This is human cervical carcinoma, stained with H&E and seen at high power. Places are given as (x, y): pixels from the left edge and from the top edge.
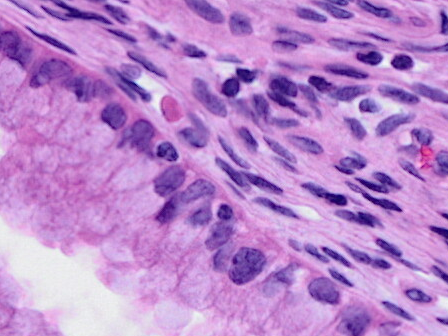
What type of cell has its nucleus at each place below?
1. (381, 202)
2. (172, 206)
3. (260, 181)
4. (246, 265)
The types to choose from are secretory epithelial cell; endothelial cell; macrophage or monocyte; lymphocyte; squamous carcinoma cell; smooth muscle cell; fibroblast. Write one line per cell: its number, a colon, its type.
1: fibroblast
2: secretory epithelial cell
3: fibroblast
4: secretory epithelial cell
